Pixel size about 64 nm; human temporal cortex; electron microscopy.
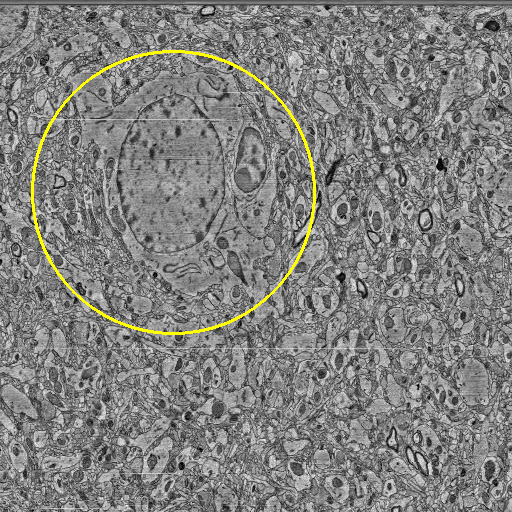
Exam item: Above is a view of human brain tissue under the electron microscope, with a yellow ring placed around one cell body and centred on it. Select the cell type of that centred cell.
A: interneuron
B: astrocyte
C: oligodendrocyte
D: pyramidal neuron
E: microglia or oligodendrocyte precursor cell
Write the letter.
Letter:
B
